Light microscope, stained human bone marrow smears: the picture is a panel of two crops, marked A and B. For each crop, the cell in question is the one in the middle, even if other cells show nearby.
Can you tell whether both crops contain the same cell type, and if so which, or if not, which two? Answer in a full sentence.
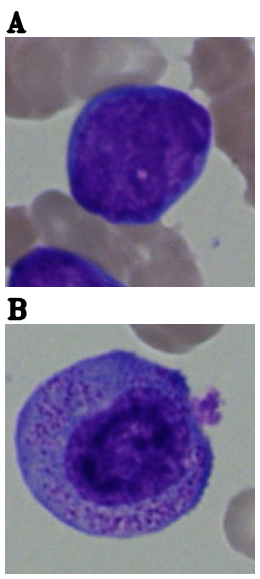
No, a blast occupies the middle of crop A, and a promyelocyte the middle of crop B.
